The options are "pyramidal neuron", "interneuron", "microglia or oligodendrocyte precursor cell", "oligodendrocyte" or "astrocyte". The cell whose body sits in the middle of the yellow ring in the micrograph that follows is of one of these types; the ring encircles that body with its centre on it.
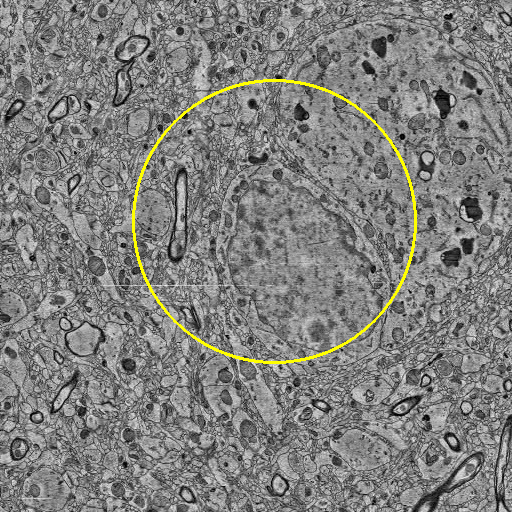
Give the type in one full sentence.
Going by the micrograph, the cell centred in the yellow ring is an interneuron.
